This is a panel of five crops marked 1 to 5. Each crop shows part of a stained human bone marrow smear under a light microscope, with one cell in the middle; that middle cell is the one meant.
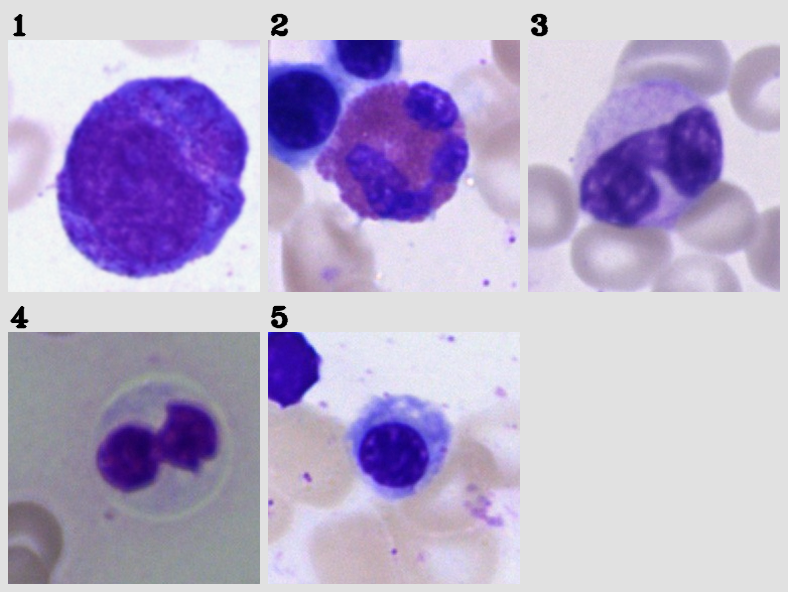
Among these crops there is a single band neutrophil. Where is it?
3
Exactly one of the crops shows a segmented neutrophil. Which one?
4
